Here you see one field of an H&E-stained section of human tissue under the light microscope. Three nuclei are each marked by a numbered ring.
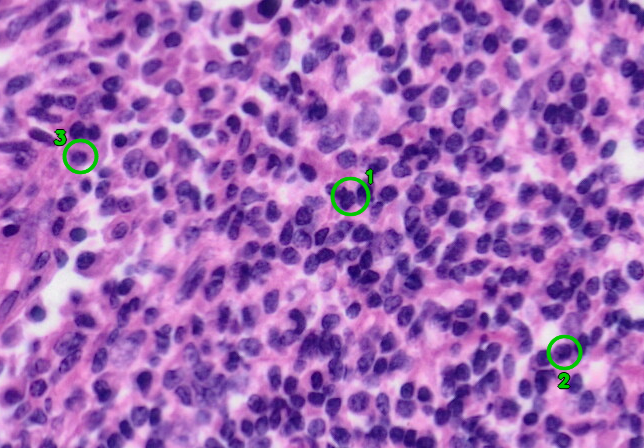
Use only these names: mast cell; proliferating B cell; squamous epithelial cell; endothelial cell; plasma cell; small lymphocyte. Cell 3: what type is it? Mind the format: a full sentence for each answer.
The cell identified by the number 3 is a plasma cell.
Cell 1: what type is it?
The nucleus with number 1 is that of a small lymphocyte.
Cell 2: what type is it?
The cell assigned the number 2 is a small lymphocyte.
